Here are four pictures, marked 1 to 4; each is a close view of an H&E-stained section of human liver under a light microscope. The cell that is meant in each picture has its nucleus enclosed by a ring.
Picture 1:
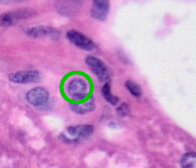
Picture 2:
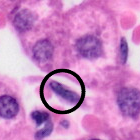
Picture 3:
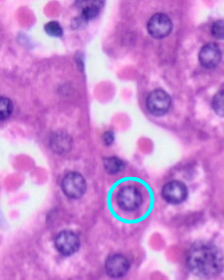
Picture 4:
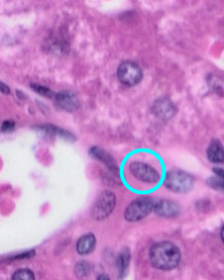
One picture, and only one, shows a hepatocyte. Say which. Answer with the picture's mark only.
3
